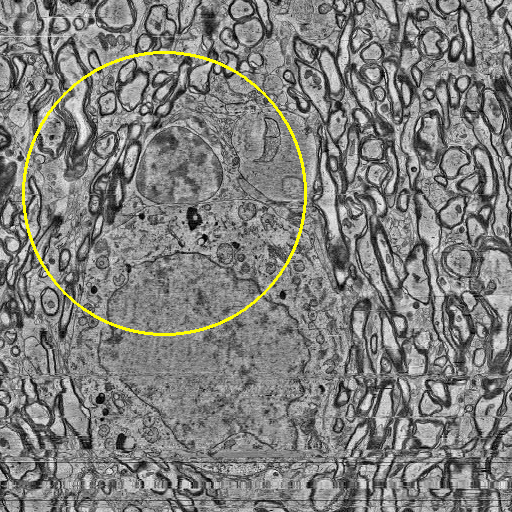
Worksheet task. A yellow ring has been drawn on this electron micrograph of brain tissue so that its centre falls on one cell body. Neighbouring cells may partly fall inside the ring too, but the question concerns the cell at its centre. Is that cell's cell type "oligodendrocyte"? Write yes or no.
no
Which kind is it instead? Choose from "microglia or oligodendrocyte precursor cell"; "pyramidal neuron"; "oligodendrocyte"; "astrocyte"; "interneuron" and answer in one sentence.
Instead, the picture shows a microglial cell or oligodendrocyte precursor cell at the centre of the ring.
